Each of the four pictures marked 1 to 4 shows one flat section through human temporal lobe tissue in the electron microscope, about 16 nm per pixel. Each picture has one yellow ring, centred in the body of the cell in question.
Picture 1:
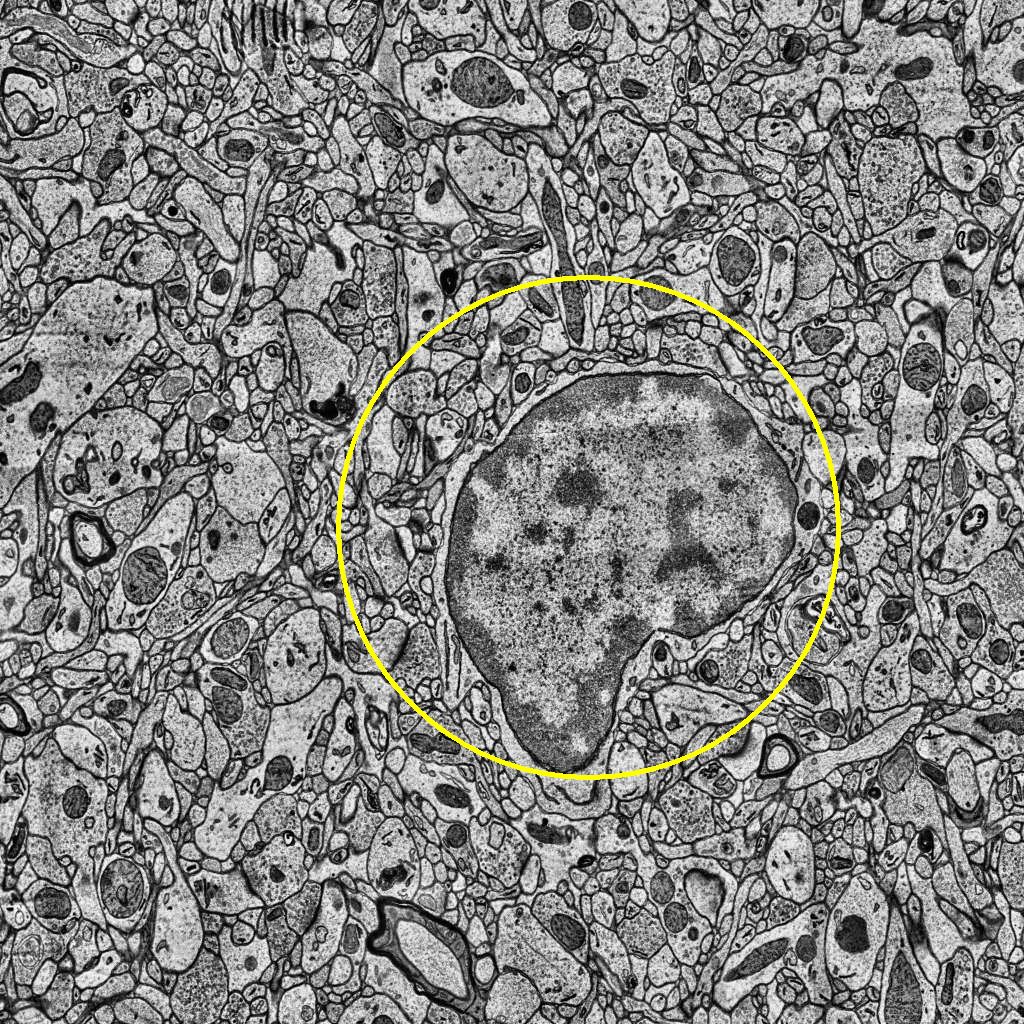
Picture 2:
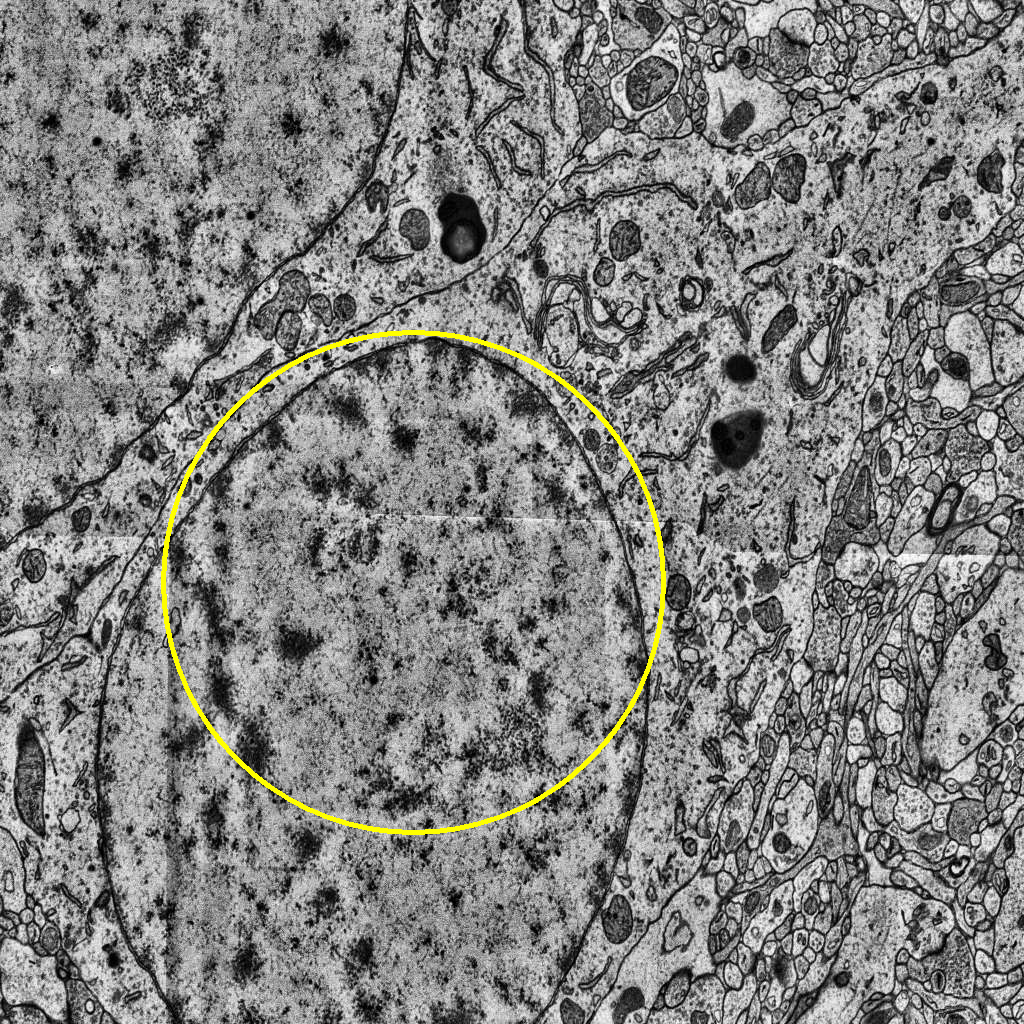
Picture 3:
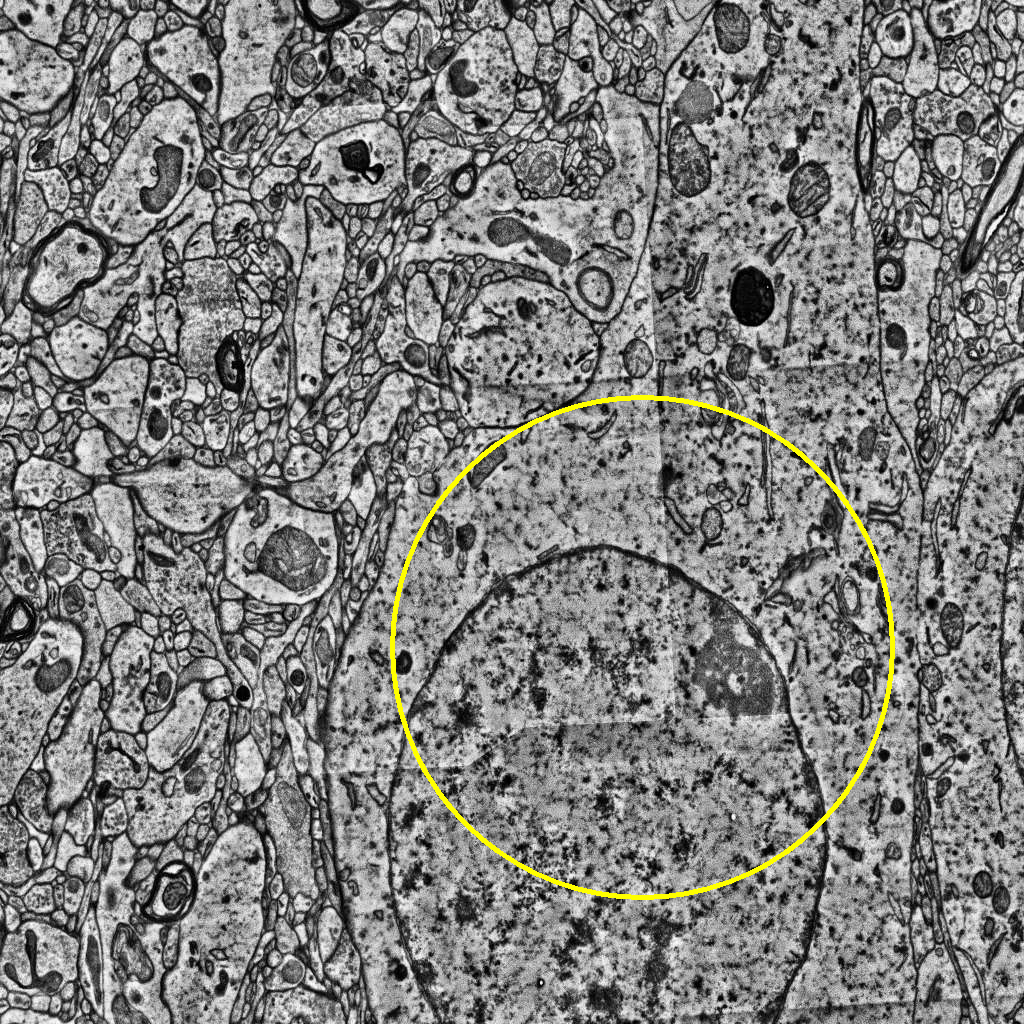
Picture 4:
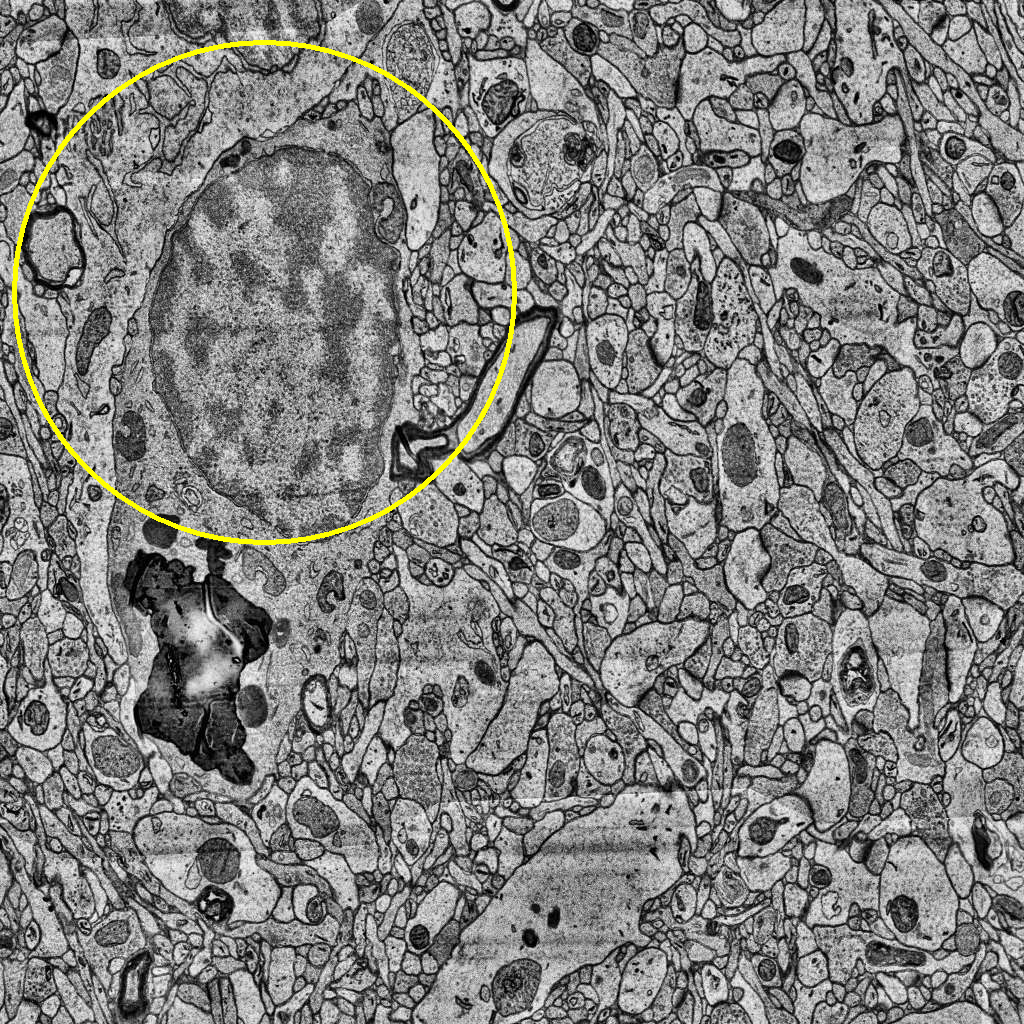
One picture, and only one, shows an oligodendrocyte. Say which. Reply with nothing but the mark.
4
